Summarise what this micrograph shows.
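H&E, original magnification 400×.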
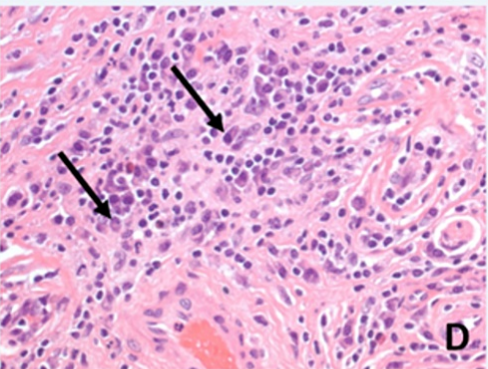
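A dense infiltrate fills this field, made mostly of small round cells with dark, compact nuclei and scant cytoplasm, mixed with larger cells that have off-centre round nuclei and a rim of pink-purple cytoplasm. The small cells are lymphocytes and the larger ones with eccentric nuclei are plasma cells. Pink collagen bundles and a small vessel border the infiltrate.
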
